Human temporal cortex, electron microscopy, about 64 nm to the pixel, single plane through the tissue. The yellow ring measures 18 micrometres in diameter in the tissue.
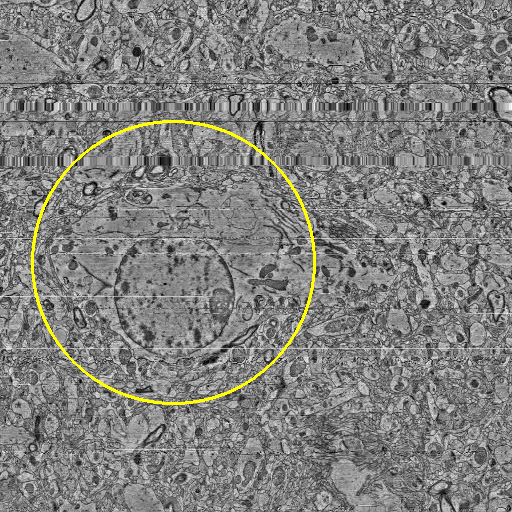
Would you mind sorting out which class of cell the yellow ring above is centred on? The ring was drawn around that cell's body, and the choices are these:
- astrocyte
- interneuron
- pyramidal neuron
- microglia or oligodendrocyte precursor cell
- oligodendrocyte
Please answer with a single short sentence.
This is the cell body of an astrocyte.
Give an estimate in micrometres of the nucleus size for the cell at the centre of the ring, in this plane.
The nucleus is approximately 8 micrometers across in this plane.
